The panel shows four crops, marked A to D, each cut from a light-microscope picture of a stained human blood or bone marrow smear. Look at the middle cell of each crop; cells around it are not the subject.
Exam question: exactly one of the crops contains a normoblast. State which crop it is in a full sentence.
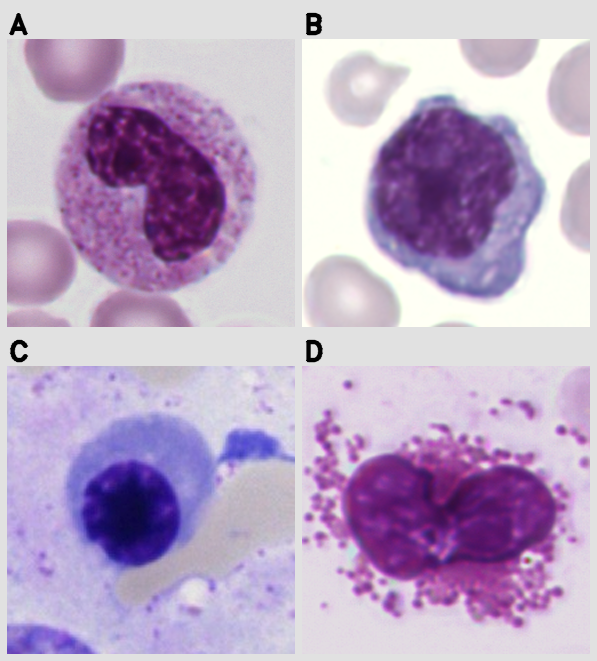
The cell identified as a normoblast is the one in crop C.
